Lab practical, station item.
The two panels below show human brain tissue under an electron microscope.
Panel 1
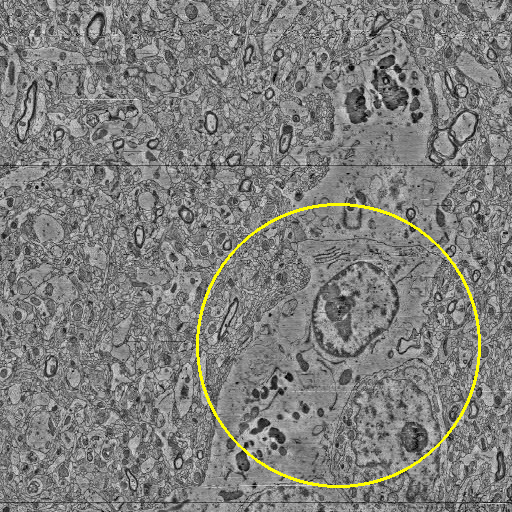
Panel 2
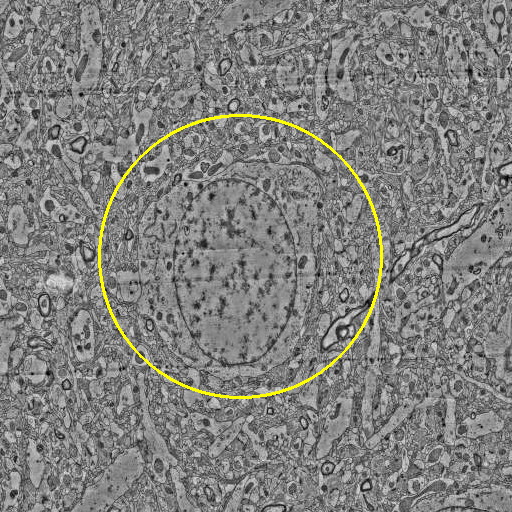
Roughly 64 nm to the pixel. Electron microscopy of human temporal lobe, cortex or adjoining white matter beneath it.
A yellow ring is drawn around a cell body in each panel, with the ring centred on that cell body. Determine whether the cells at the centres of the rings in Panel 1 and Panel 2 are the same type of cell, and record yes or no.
no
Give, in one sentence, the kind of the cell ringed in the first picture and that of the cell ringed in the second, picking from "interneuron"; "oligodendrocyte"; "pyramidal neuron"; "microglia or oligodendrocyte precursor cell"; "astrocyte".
For the first picture it is an astrocyte; for the second, a pyramidal neuron.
